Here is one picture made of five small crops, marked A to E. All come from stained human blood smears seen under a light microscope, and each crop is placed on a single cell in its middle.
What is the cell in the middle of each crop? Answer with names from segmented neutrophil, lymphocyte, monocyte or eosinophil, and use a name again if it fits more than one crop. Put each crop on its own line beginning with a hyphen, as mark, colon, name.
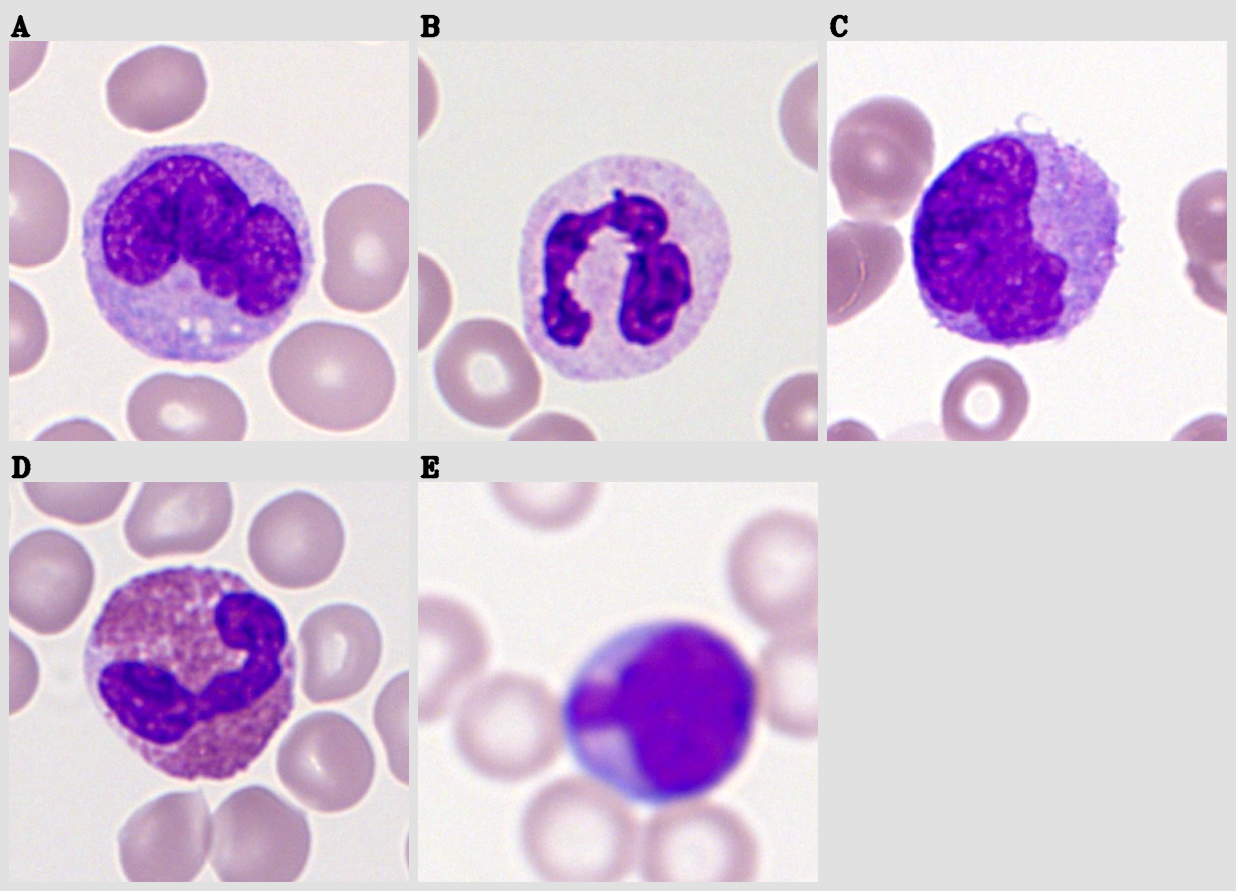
- A: monocyte
- B: segmented neutrophil
- C: monocyte
- D: eosinophil
- E: lymphocyte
